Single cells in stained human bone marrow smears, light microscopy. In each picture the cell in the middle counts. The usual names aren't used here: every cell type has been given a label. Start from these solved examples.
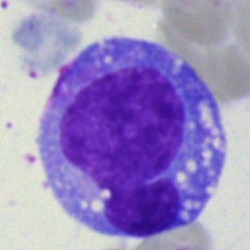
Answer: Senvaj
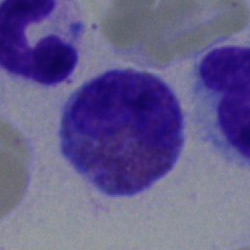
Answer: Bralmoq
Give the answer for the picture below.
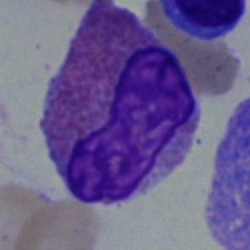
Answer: Bralmoq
